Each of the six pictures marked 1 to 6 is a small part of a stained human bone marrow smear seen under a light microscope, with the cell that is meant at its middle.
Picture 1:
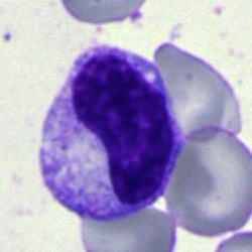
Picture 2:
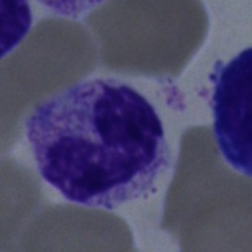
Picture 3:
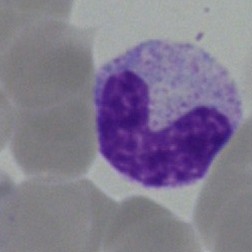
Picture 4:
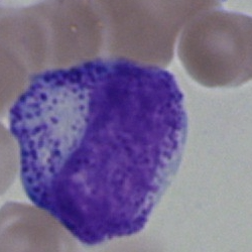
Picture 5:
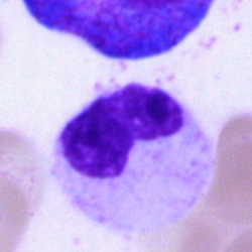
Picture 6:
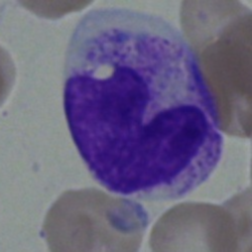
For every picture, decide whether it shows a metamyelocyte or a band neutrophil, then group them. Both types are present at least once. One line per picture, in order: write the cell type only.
metamyelocyte
band neutrophil
band neutrophil
metamyelocyte
metamyelocyte
metamyelocyte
